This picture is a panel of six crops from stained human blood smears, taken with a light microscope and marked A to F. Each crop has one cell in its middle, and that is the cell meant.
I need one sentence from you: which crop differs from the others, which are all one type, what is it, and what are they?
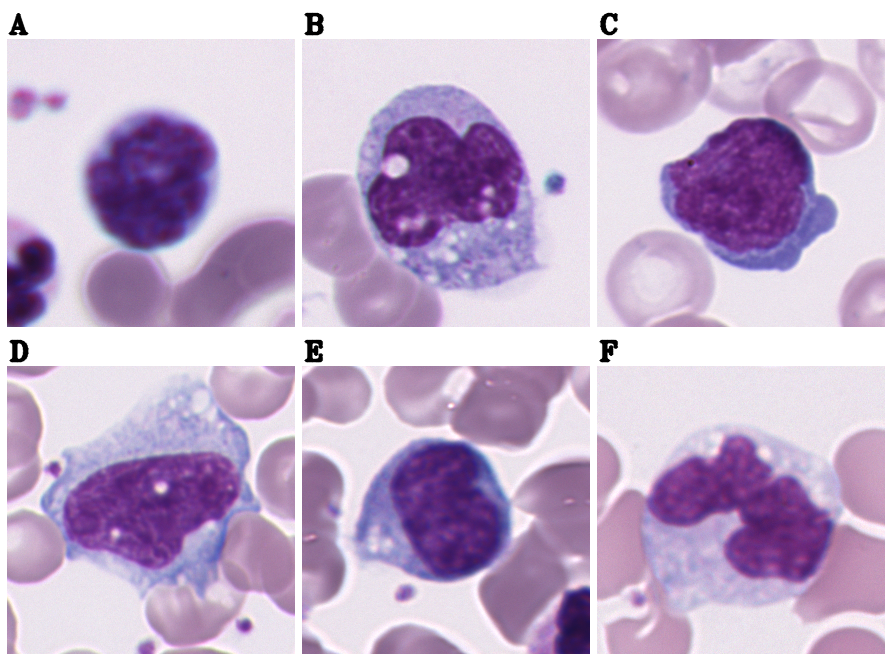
The set is made up of monocytes, with the single exception of crop C, which is a blast.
